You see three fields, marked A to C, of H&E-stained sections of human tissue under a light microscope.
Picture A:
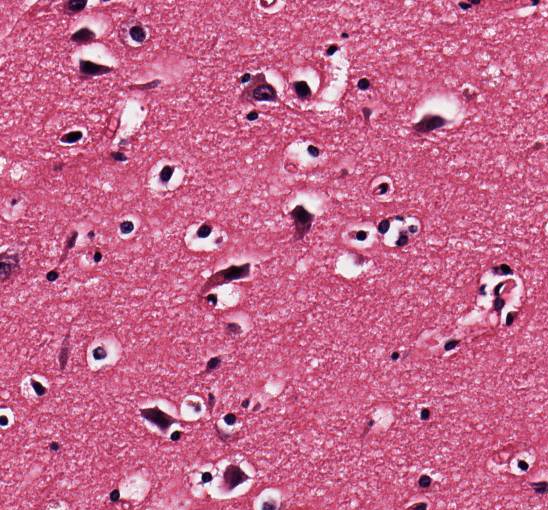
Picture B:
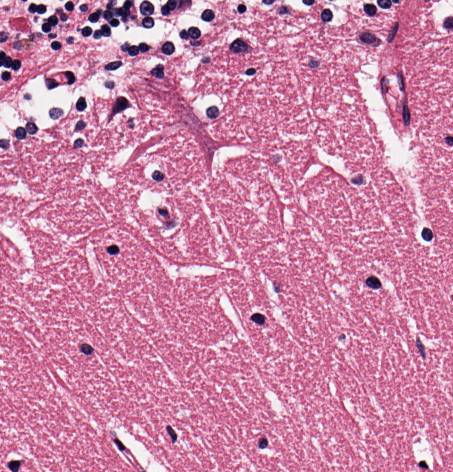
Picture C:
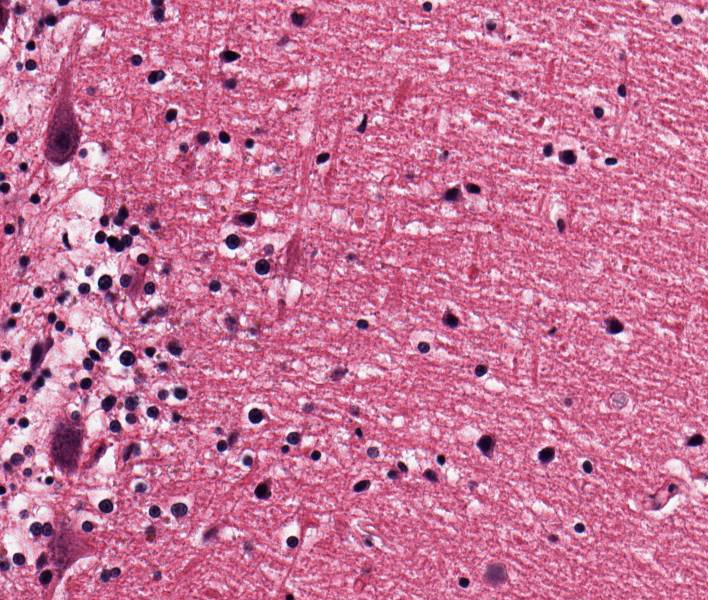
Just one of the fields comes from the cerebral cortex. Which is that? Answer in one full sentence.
Picture A is the field that comes from the cerebral cortex.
